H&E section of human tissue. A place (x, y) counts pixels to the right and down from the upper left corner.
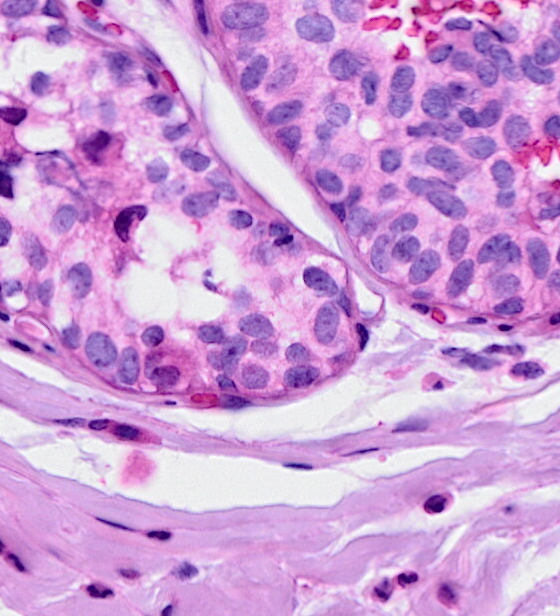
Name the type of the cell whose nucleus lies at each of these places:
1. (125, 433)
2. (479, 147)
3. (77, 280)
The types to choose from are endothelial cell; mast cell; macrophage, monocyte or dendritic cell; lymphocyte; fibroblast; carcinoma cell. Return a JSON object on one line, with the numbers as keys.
{"1": "mast cell", "2": "carcinoma cell", "3": "carcinoma cell"}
